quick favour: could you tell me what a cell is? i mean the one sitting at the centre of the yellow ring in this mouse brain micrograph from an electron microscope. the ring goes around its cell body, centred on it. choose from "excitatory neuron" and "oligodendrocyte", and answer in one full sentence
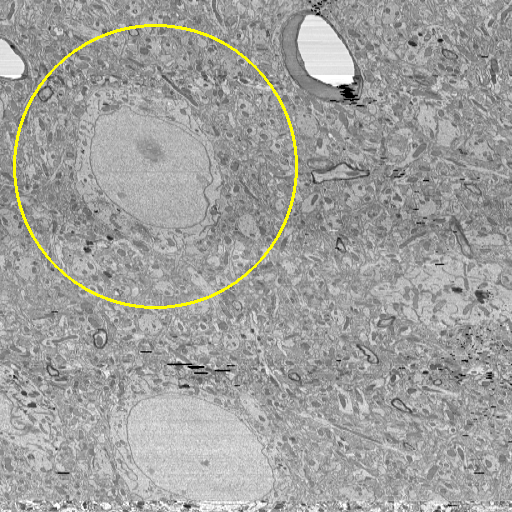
That's an excitatory neuron, the cell sitting at the centre of the yellow ring.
